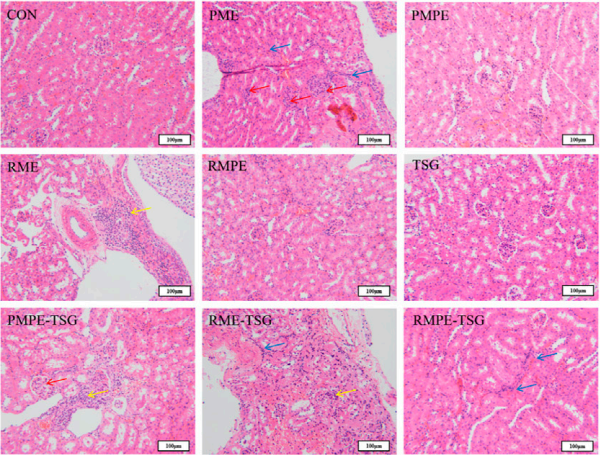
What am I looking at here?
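A grid of kidney sections shows cortex with round glomeruli surrounded by cross-sectioned renal tubules lined by pink epithelium. In some fields, the interstitium holds dense sheets of small dark-nucleated cells that displace the tubules, and coloured arrows mark these areas and glomeruli. Other fields show tightly packed, regular tubules and glomeruli.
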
